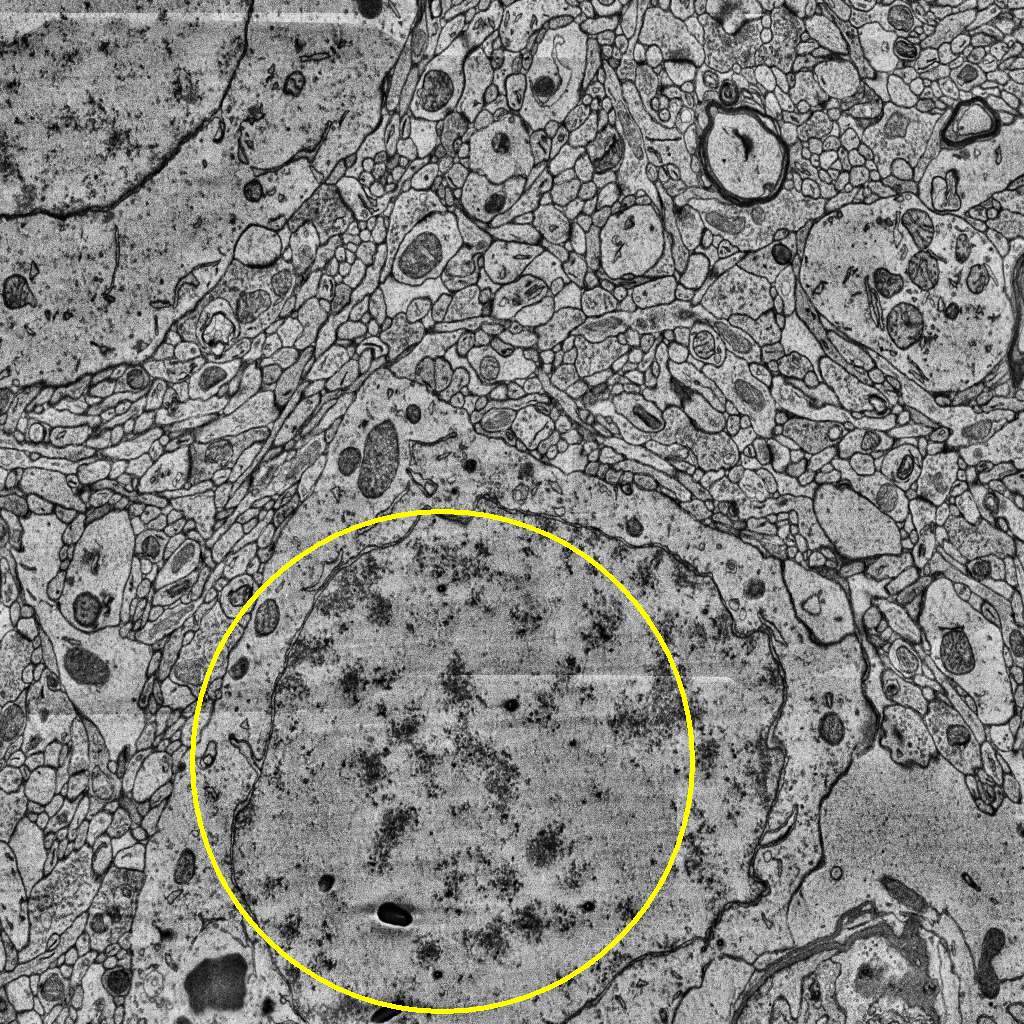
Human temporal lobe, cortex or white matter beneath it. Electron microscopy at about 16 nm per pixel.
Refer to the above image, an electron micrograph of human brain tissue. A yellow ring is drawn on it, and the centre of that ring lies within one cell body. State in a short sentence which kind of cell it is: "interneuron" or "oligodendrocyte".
The centre of the ring falls on an interneuron.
